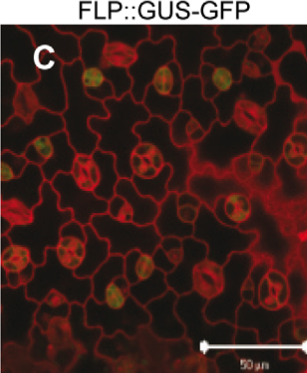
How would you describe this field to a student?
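Set among them, well separated, are small oval stomata made of two kidney-shaped guard cells meeting at a central line, plus a few small rounded cells not yet divided. Green fluorescence is confined to these small stomatal cells, often as a round spot within each, while the pavement cells stay unlabelled. The stomata are spaced apart, with at least one pavement cell lying between neighbouring ones.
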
